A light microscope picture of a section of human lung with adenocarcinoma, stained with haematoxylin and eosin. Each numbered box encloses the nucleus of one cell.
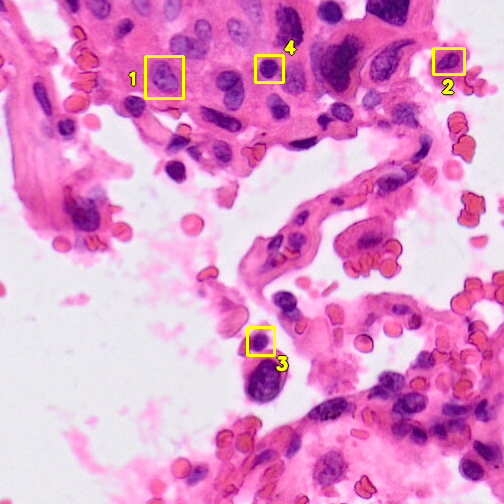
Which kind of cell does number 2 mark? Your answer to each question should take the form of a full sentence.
The cell marked with number 2 is a macrophage or monocyte.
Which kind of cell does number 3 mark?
The nucleus labeled 3 belongs to a lymphocyte.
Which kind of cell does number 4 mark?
The cell referenced by the number 4 is a lymphocyte in this field.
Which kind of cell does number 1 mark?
The identity of cell 1 is that of a macrophage or monocyte.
